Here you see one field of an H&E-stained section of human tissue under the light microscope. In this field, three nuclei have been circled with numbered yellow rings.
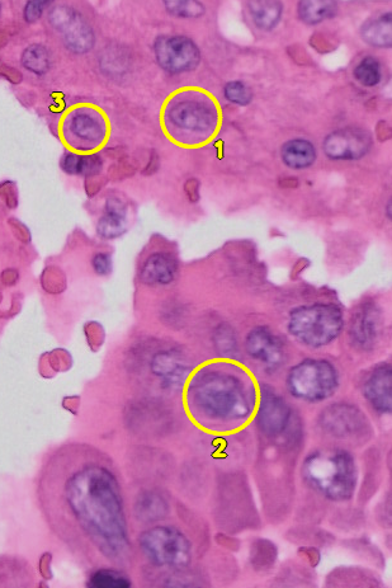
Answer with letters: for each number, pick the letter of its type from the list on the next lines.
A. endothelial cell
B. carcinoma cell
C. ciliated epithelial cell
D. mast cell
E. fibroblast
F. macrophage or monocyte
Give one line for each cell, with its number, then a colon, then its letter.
1: F
2: B
3: F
